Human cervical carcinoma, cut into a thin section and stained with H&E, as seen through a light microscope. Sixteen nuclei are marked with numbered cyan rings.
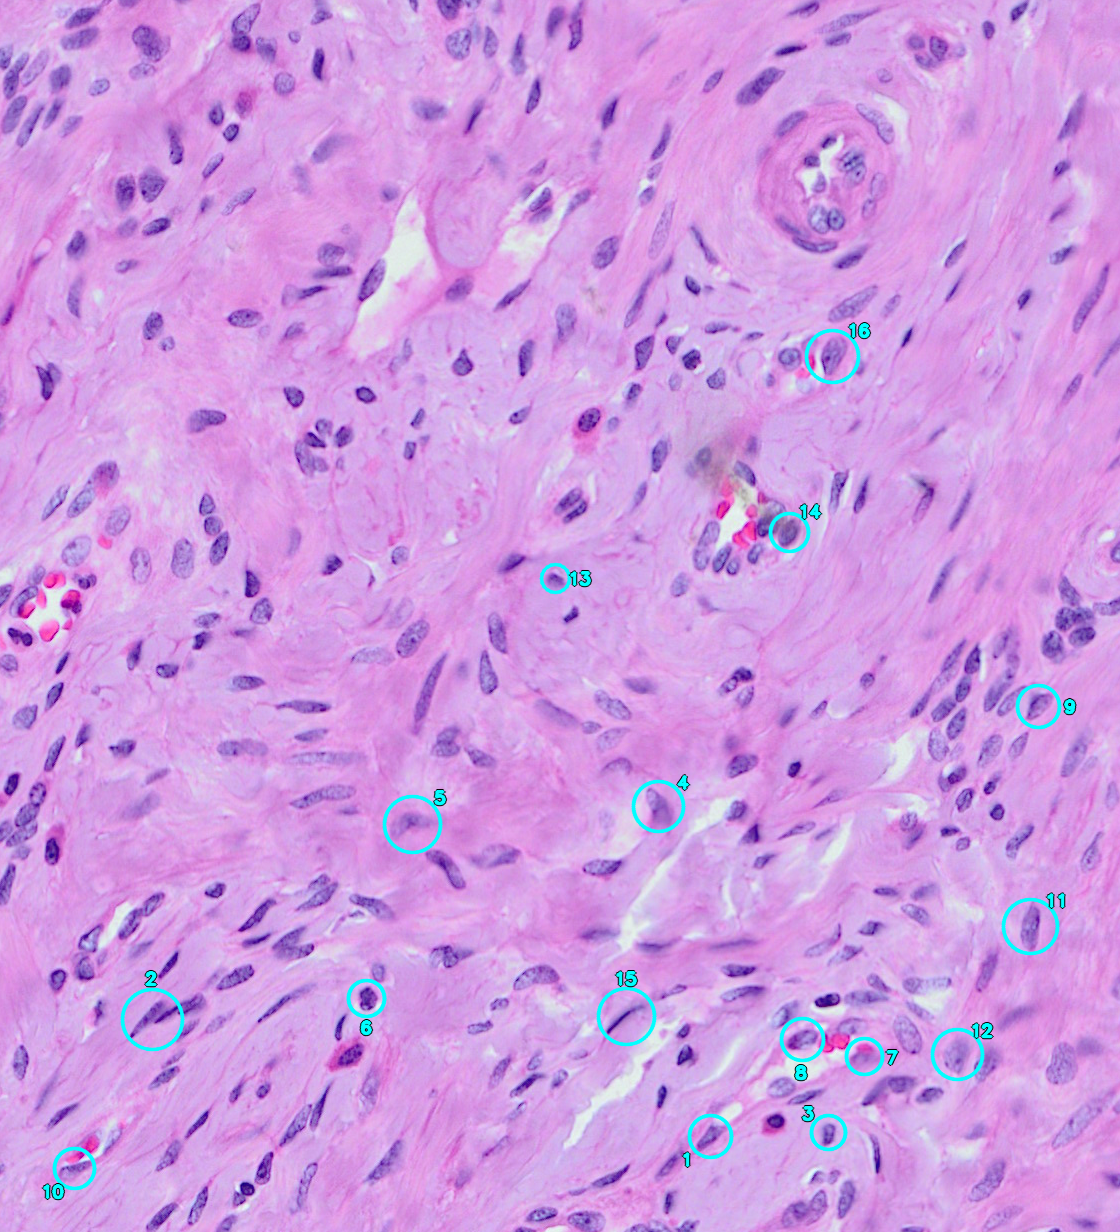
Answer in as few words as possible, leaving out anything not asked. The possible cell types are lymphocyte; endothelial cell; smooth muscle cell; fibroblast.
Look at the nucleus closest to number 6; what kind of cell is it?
fibroblast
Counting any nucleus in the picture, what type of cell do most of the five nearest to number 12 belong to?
fibroblast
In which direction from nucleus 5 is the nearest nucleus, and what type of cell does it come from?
a fibroblast; below and to the right of nucleus 5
